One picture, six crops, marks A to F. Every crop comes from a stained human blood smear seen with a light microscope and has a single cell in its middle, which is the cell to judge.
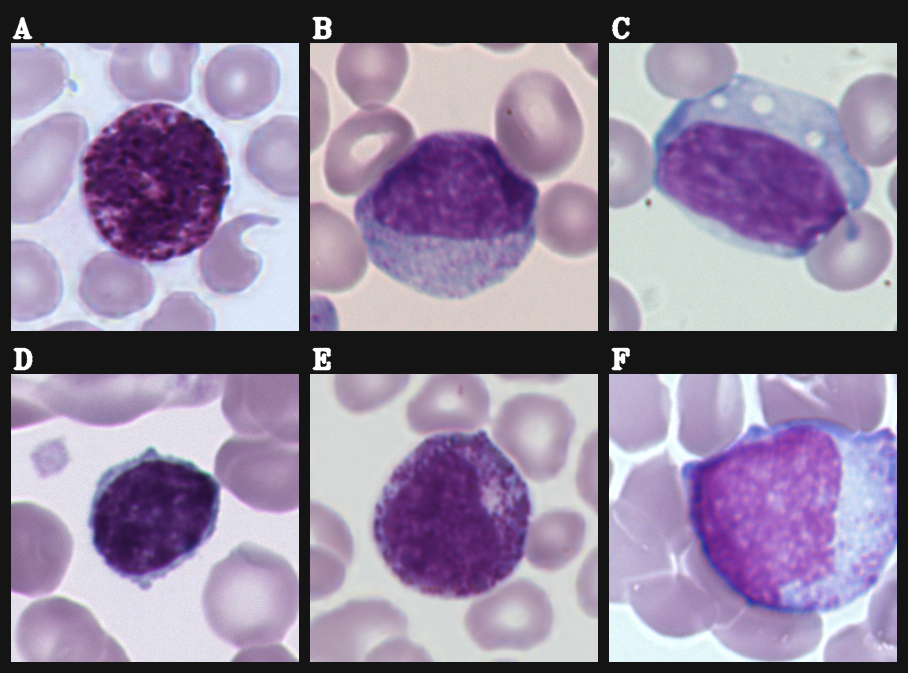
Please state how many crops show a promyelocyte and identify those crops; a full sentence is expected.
Within the set, crops B, E and F are the three showing promyelocytes.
